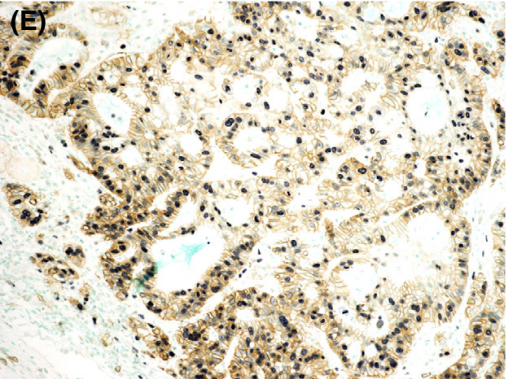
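This is a carcinoma made of crowded atypical cells forming small, irregular and back-to-back glands with pale luminal contents. Many tumour cells have dark blue-black nuclei, while their cell membranes are outlined in brown. A band of pale spindle-cell stroma with unstained cells borders the tumour on the left.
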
